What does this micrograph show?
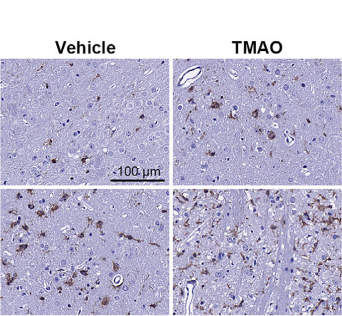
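In the upper left field the brown cells are sparse, with thin processes. In the other fields, and most in the lower two, the brown cells are more numerous and the brown precipitate is denser, with thicker, more heavily stained processes.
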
